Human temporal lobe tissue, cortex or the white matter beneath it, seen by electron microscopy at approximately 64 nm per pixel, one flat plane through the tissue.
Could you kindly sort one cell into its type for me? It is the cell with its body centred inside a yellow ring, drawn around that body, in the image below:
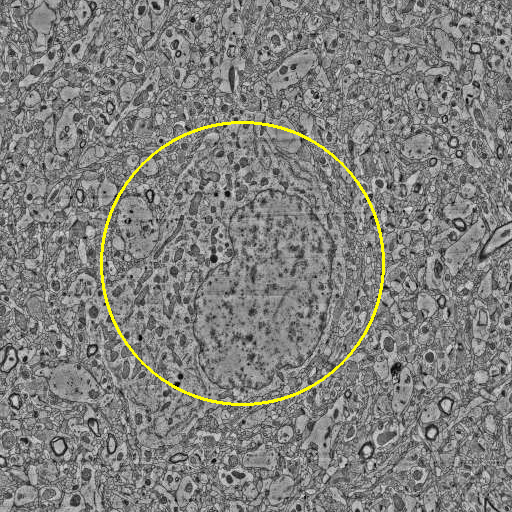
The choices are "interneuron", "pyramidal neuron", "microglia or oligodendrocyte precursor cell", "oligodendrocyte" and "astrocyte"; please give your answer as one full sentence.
The cell whose body lies centred in the yellow ring here is an interneuron.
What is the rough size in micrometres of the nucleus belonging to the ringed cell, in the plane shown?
The ringed cell's nucleus is roughly 13 by 8 micrometres and clearly longer than it is wide in this plane.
